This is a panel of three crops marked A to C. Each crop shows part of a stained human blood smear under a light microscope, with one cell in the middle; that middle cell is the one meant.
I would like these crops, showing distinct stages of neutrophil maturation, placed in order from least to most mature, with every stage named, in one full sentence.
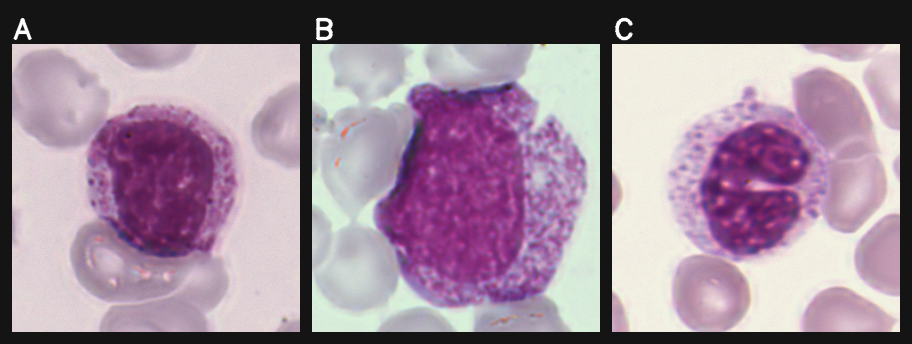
Along the maturation line, from least to most mature, sit crop B (a promyelocyte), crop A (a myelocyte) and crop C (a band neutrophil).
